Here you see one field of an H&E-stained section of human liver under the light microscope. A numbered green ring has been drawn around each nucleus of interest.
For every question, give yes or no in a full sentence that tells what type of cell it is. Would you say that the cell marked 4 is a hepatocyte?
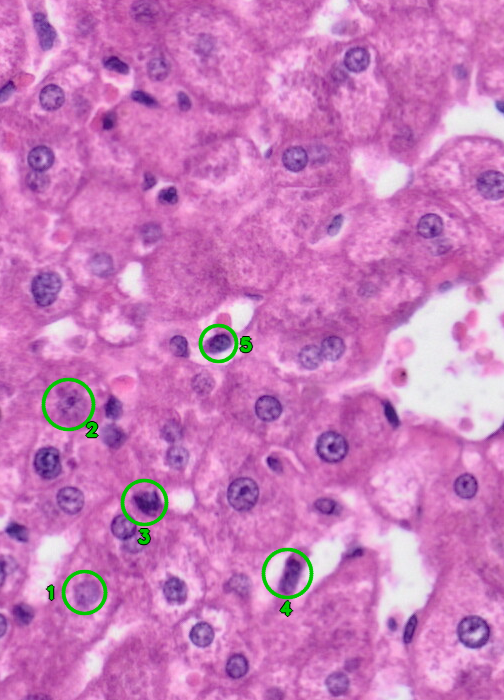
No, cell 4 is not a hepatocyte at all but a Kupffer cell.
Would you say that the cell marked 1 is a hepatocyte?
Yes, in this section the cell with number 1 is a hepatocyte.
